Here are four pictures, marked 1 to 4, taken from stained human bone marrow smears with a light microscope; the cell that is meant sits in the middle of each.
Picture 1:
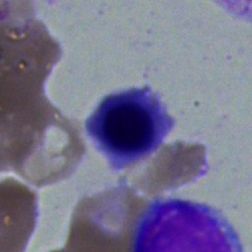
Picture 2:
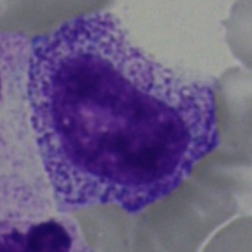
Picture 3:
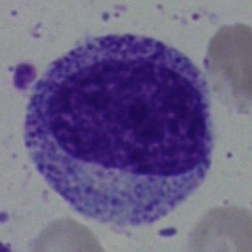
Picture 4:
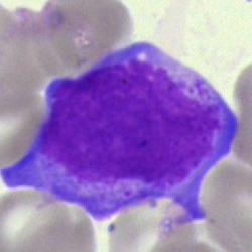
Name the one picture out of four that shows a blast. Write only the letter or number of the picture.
4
